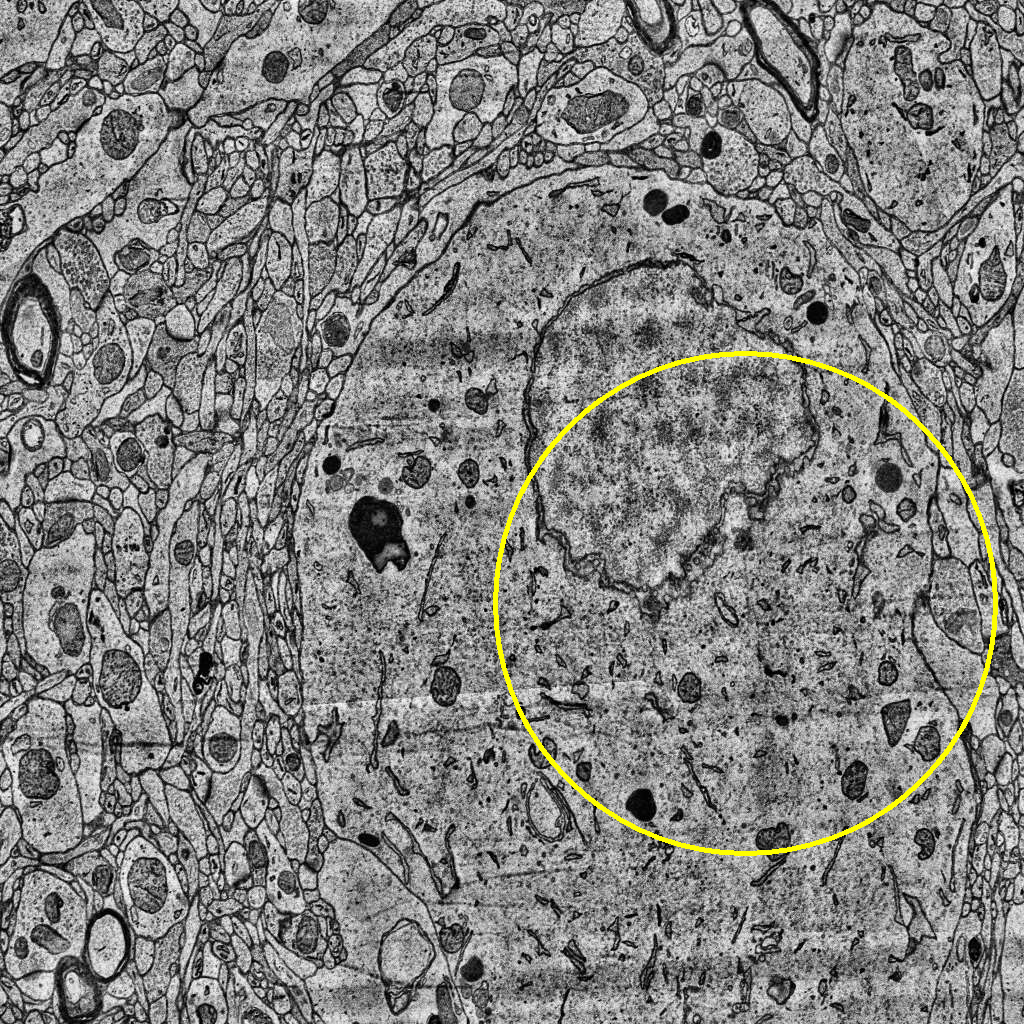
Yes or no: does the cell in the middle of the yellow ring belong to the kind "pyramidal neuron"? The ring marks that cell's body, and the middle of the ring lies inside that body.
yes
